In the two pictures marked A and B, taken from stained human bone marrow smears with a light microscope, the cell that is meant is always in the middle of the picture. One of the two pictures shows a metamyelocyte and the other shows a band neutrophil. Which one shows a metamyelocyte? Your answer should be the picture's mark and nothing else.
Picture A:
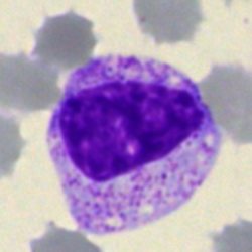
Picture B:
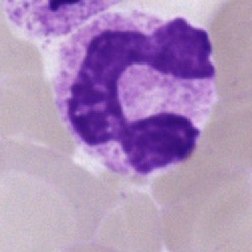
A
